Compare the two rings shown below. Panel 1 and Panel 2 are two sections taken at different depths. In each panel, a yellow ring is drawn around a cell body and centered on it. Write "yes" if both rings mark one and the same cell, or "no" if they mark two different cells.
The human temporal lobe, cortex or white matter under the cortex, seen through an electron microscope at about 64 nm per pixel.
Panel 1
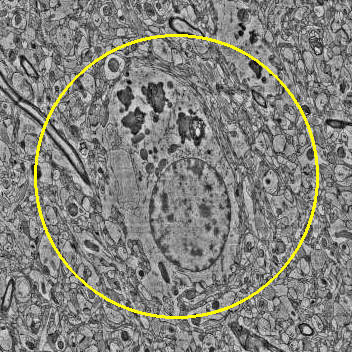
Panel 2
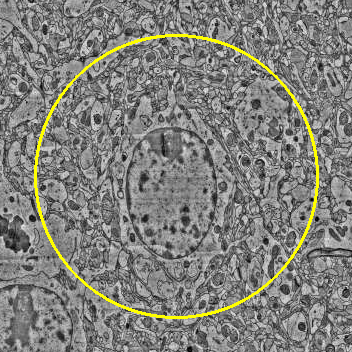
no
